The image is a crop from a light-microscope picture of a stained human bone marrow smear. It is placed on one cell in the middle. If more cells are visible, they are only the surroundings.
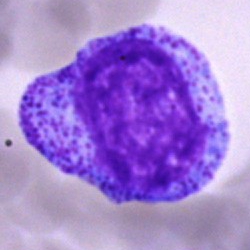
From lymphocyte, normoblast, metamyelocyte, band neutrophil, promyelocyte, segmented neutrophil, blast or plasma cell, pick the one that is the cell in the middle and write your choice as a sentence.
The cell in the exact centre of the crop is a promyelocyte.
